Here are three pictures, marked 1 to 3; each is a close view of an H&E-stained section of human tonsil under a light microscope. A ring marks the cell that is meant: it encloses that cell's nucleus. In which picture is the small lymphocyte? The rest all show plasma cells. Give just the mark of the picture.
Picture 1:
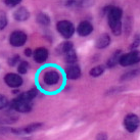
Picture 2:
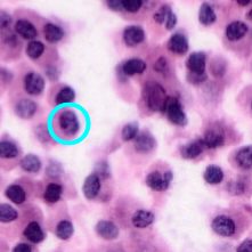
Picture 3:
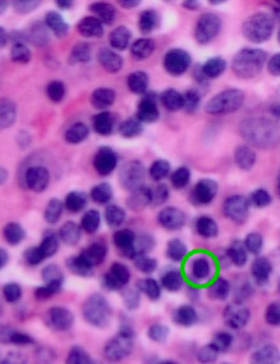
3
